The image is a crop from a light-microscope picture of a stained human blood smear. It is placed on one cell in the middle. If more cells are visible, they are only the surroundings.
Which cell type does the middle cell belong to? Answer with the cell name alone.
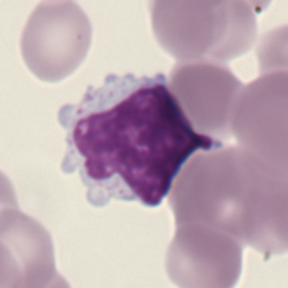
large granular lymphocyte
